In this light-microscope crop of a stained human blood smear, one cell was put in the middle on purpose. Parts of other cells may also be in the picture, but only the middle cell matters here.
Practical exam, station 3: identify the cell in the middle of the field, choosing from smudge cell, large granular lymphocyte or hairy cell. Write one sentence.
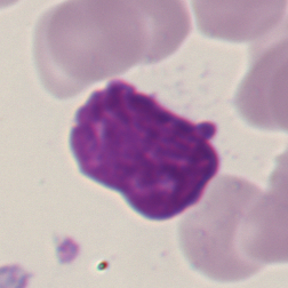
The central cell in this smear crop is a smudge cell.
